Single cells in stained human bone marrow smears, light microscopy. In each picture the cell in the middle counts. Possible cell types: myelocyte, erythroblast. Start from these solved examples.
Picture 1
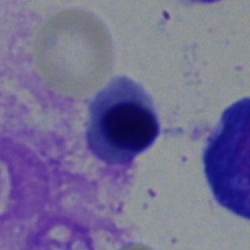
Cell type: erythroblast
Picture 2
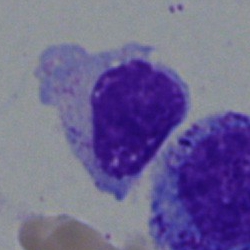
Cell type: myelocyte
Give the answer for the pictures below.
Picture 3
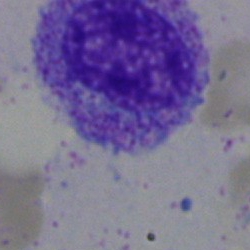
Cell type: myelocyte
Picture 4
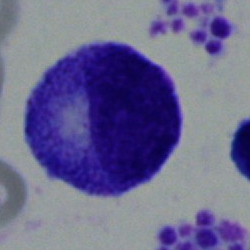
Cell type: myelocyte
